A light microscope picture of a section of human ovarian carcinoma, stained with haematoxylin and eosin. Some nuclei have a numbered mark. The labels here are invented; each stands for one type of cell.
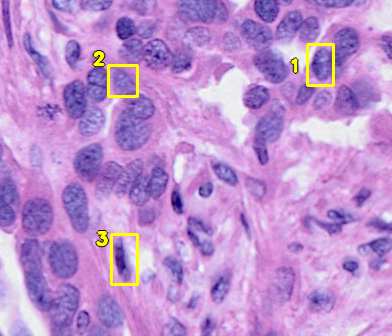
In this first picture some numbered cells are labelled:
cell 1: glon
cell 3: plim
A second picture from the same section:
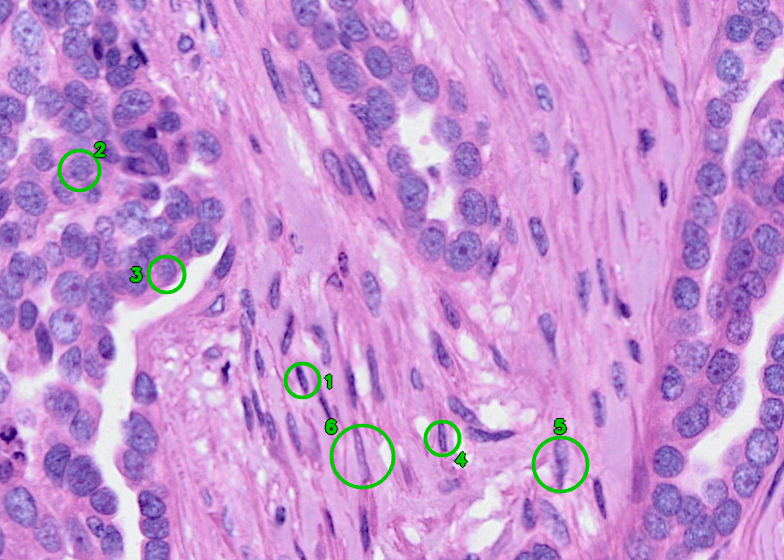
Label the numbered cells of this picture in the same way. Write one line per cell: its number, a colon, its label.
1: plim
2: glon
3: glon
4: plim
5: plim
6: plim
